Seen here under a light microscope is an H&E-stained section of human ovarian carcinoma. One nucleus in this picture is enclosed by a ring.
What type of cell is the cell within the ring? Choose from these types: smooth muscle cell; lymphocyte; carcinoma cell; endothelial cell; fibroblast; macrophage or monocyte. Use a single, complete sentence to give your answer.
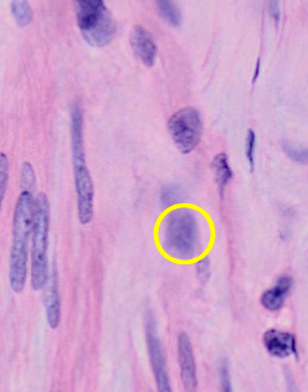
What the cell within the ring represents is a fibroblast.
